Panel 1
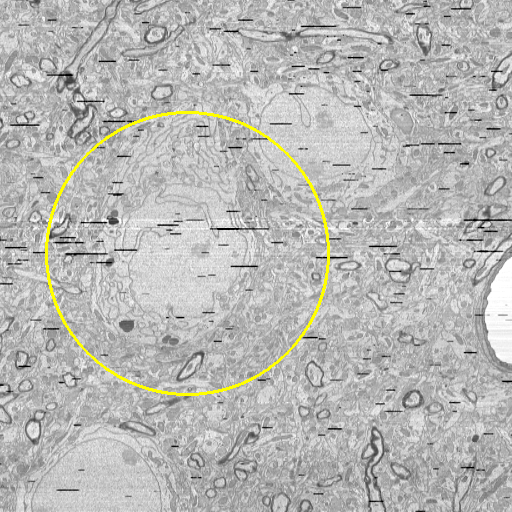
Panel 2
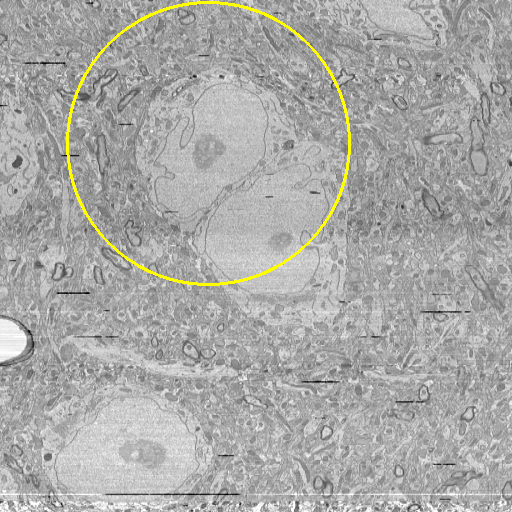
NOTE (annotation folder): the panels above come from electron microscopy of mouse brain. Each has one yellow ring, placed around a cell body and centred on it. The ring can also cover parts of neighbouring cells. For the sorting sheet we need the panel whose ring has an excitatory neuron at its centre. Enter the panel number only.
2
